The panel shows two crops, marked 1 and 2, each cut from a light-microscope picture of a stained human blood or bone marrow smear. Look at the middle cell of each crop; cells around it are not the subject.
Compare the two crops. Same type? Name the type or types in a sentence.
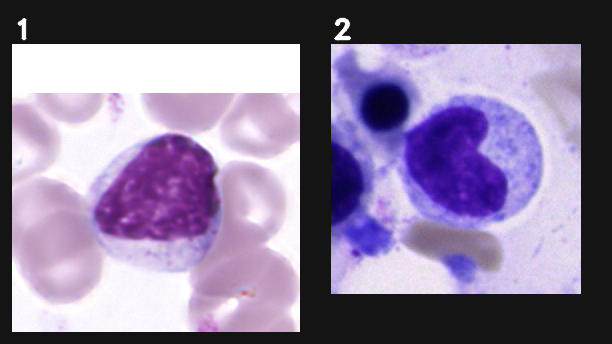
Yes, both crops are centred on cells that are metamyelocytes.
